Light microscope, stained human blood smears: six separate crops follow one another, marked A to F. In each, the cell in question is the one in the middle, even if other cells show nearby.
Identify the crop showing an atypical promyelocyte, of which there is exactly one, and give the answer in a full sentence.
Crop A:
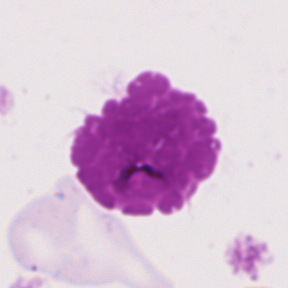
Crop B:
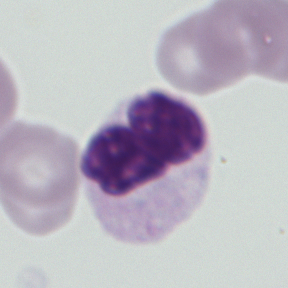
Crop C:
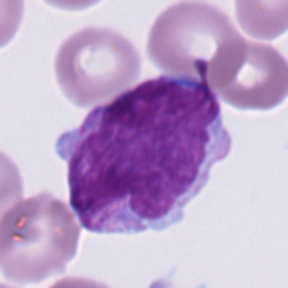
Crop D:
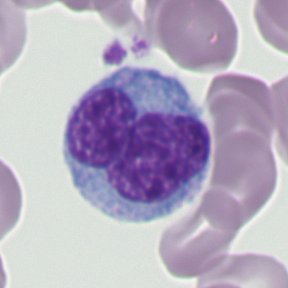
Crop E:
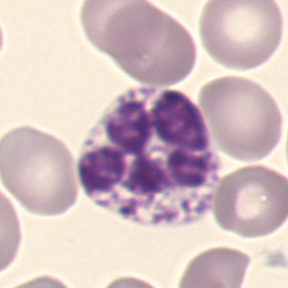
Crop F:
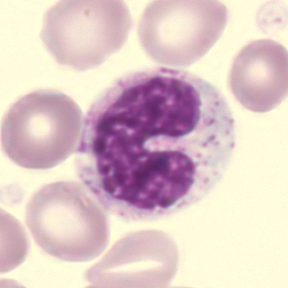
The crop marked C is the one that shows an atypical promyelocyte.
